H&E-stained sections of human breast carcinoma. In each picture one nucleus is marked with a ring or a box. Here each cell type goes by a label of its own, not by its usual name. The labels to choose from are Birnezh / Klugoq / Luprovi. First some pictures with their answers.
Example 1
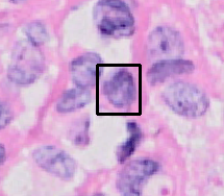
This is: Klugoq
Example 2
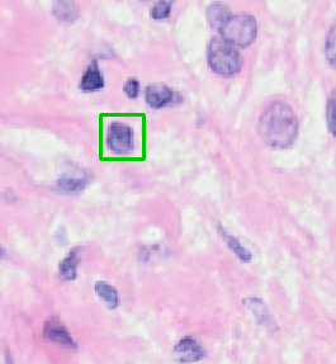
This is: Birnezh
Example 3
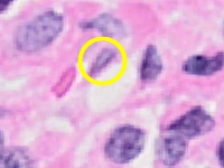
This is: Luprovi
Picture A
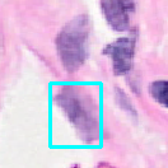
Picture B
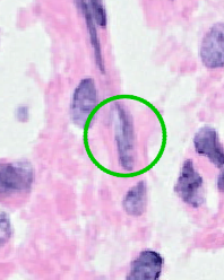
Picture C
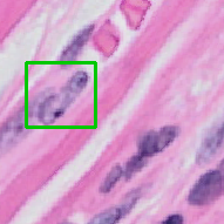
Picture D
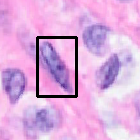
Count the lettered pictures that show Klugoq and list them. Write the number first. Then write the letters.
0, none of them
